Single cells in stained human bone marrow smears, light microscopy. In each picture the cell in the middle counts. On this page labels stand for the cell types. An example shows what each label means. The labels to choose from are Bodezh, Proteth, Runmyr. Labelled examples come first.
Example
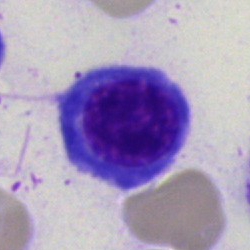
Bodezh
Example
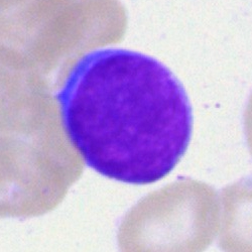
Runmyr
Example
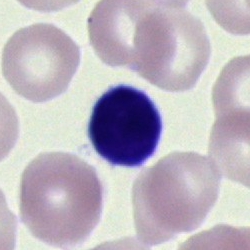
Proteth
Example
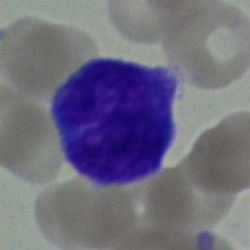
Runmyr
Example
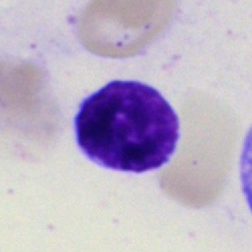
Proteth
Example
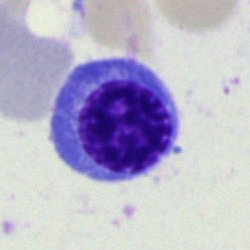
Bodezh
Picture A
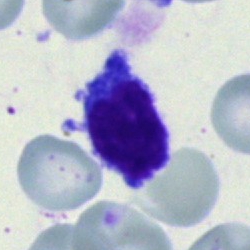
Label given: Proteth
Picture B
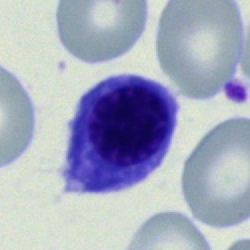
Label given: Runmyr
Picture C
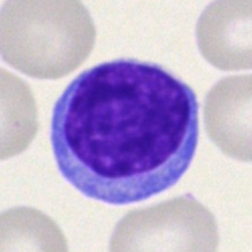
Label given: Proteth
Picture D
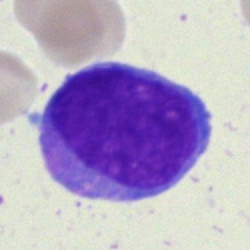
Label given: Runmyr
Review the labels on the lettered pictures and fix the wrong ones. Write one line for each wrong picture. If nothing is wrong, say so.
B: Bodezh, not Runmyr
